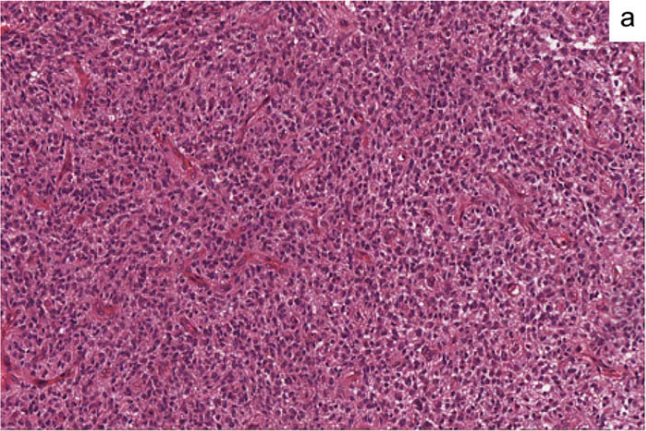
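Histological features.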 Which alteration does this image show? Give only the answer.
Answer: High cellularity.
